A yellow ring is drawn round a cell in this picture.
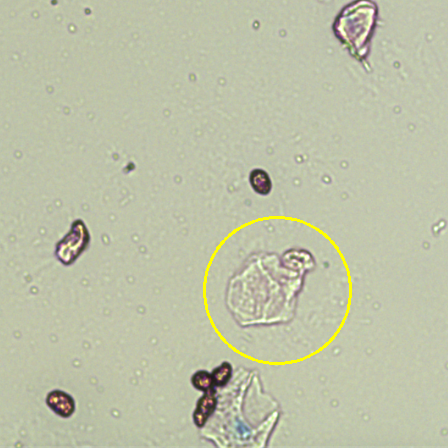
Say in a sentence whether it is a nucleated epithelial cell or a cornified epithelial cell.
The cell in the ring is a cornified epithelial cell.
